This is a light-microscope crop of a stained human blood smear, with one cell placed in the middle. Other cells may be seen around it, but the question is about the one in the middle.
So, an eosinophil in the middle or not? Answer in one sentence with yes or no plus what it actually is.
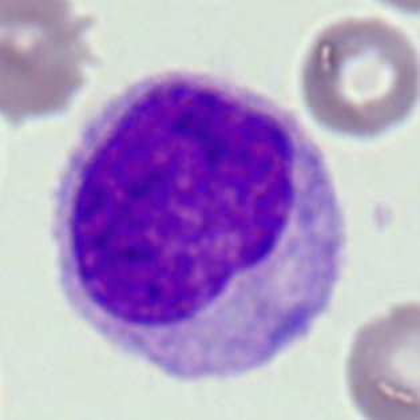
No, the centered cell is a monocyte and not an eosinophil at all.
